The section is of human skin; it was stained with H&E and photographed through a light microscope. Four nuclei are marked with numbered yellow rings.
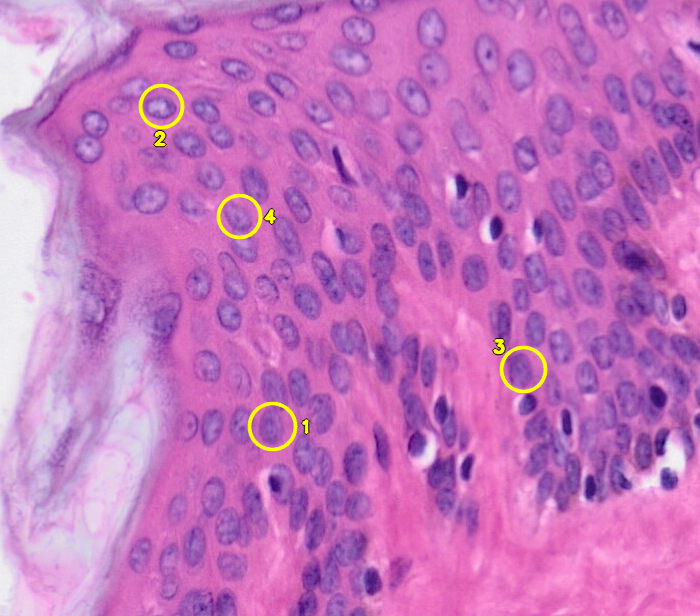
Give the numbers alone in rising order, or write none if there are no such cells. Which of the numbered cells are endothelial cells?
none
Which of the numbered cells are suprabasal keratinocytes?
1, 2, 4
